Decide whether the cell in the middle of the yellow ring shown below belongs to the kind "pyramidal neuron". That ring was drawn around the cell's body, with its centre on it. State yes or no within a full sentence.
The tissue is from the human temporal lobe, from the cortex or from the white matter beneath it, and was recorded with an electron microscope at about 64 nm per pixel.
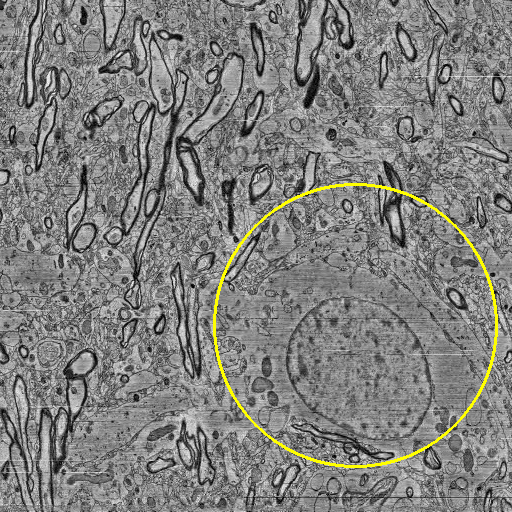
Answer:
No, the cell whose body lies at the ring's centre in the picture belongs to a different kind.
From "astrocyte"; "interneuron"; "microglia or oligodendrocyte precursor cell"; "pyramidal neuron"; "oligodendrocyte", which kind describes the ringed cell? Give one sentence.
What the ring encloses here is an astrocyte.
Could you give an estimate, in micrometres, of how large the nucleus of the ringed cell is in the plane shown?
In this plane, about 10 micrometres in length and 8 in width.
